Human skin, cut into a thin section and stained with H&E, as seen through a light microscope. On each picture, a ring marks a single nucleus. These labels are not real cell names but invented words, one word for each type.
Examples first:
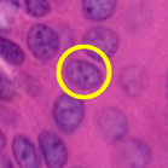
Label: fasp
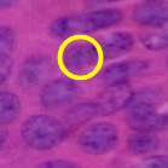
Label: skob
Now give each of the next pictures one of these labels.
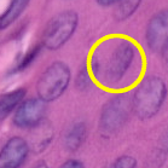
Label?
fasp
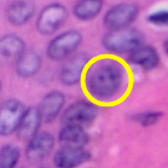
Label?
skob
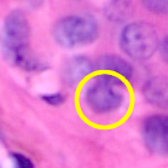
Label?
skob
